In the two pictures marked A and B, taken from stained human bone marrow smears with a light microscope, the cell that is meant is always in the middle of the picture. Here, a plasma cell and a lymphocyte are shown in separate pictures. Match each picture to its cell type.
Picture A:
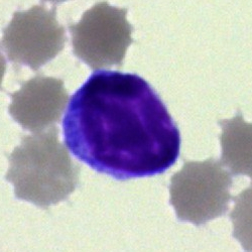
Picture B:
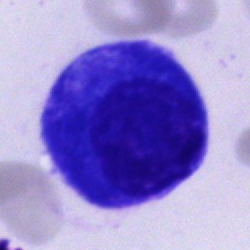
A: lymphocyte
B: plasma cell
